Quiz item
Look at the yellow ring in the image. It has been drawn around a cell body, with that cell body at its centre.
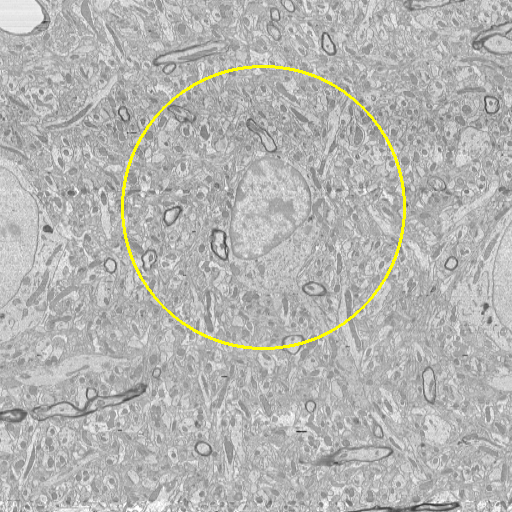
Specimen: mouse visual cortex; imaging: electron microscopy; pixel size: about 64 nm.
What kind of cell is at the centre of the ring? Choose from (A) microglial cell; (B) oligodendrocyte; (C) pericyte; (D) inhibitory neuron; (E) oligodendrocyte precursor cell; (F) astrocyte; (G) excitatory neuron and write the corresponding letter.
B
